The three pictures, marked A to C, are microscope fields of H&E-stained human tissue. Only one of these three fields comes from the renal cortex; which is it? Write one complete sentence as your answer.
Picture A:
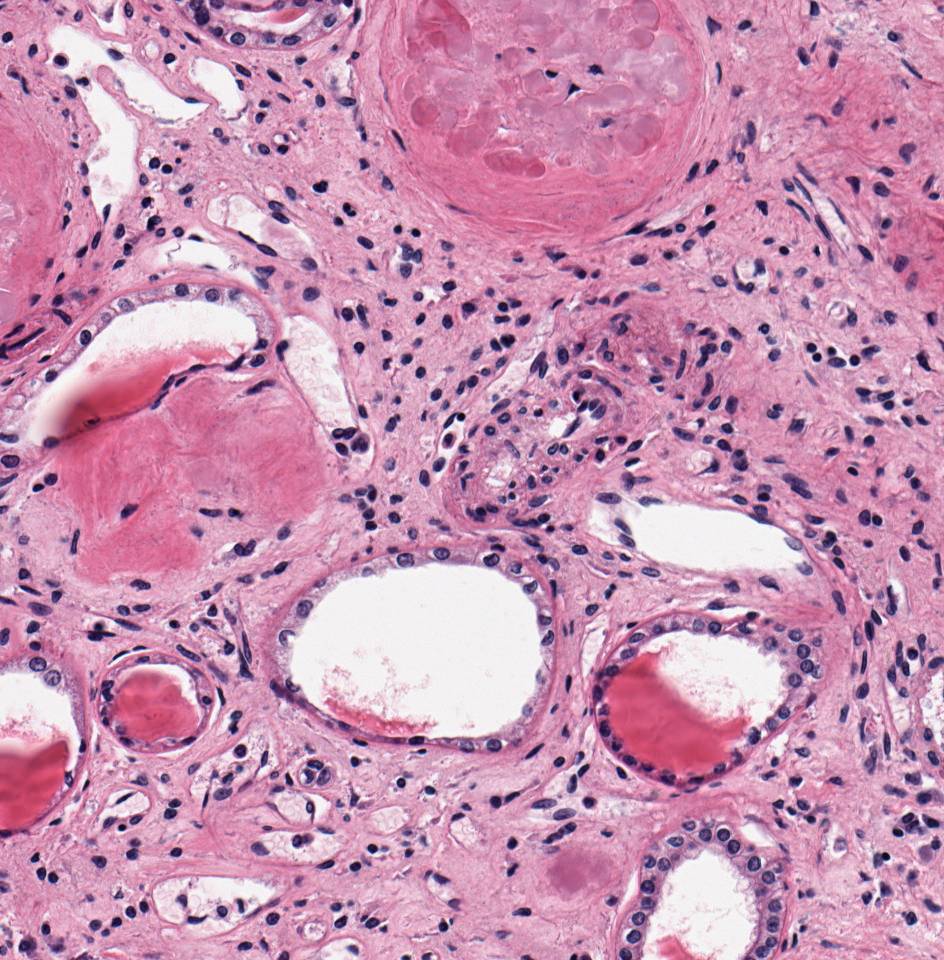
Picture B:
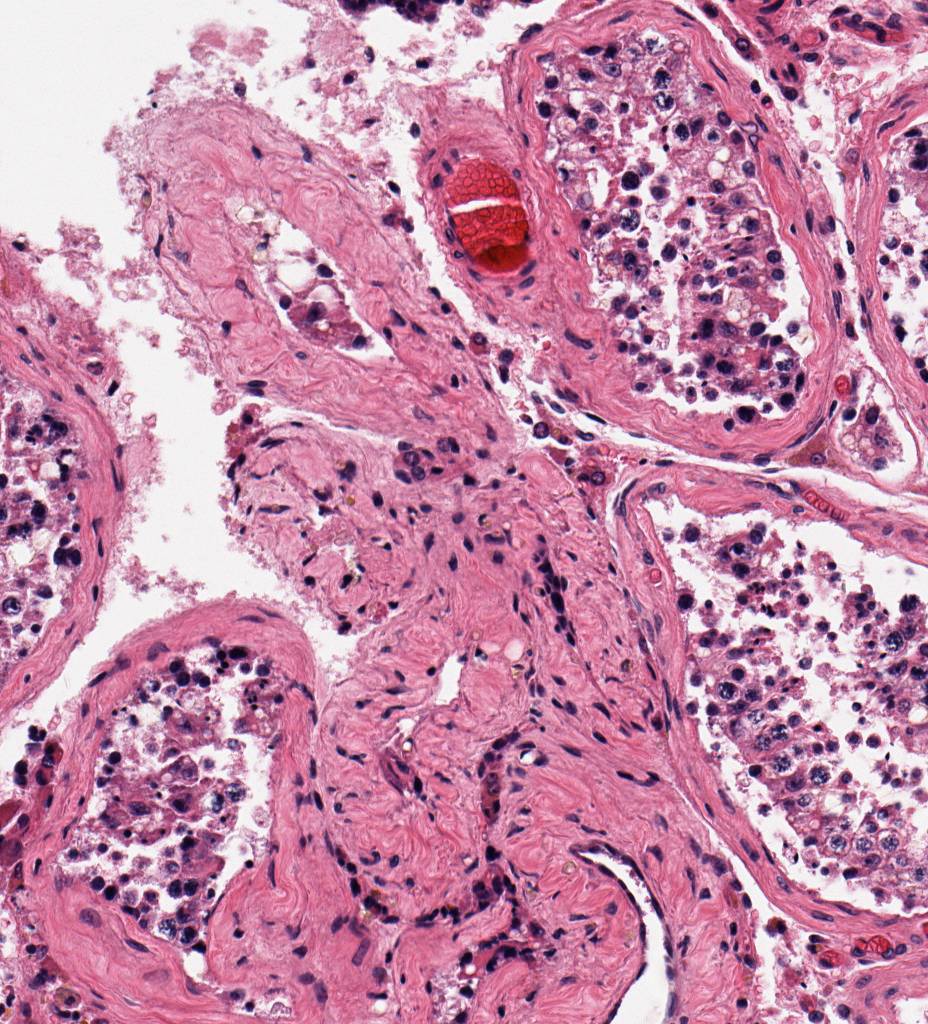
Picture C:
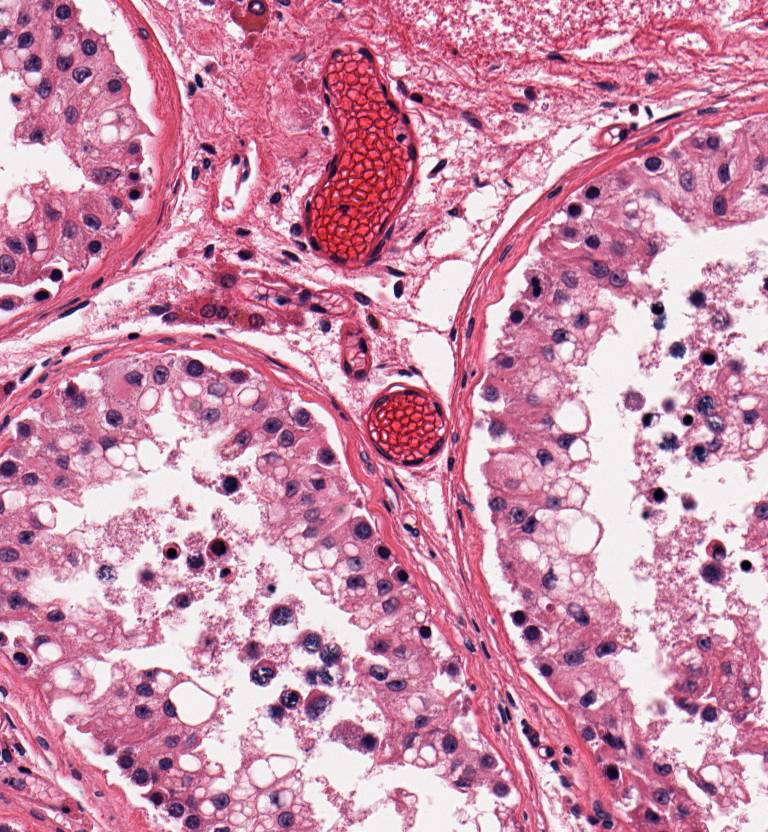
Picture A comes from the renal cortex.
